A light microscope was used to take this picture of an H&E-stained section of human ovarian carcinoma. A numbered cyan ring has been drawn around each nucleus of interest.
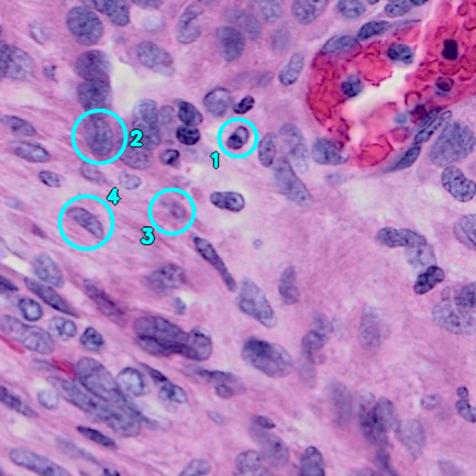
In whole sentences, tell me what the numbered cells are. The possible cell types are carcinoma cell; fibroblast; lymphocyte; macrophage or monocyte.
Cell 1 is a lymphocyte, cell 2 is a carcinoma cell, cell 3 is a fibroblast and cell 4 is a fibroblast.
